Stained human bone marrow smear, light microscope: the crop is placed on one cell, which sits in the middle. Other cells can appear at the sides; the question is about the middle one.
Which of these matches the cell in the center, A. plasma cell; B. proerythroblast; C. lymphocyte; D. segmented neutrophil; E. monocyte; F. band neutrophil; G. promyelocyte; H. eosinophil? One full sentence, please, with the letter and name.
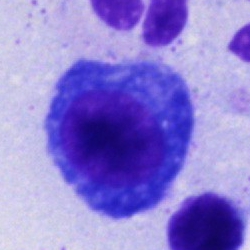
Option A is correct in that the central cell is a plasma cell.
